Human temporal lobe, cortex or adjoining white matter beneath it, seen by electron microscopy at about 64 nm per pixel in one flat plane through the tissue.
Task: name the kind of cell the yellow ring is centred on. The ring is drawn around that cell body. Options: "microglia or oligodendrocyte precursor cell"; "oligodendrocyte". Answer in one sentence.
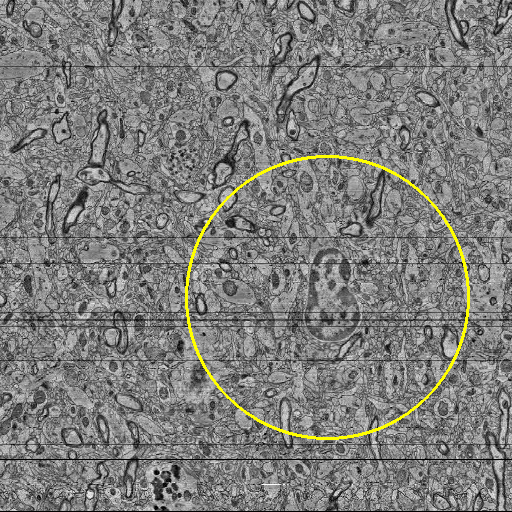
This cell body belongs to a microglial cell or oligodendrocyte precursor cell.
